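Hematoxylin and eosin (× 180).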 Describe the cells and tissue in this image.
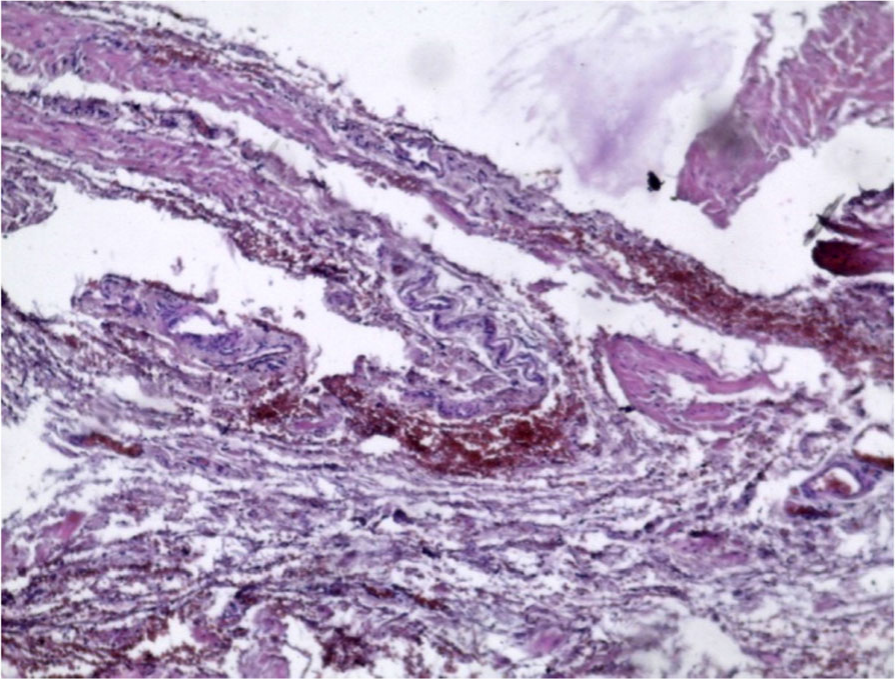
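Narrow spaces are lined by a thin, wavy, deeply folded layer of small purple-nucleated cells. These lie in loose, torn, fibrous stroma with bands of pink eosinophilic tissue. Extensive patches of dark red extravasated red blood cells lie between and beside the folded structures.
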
